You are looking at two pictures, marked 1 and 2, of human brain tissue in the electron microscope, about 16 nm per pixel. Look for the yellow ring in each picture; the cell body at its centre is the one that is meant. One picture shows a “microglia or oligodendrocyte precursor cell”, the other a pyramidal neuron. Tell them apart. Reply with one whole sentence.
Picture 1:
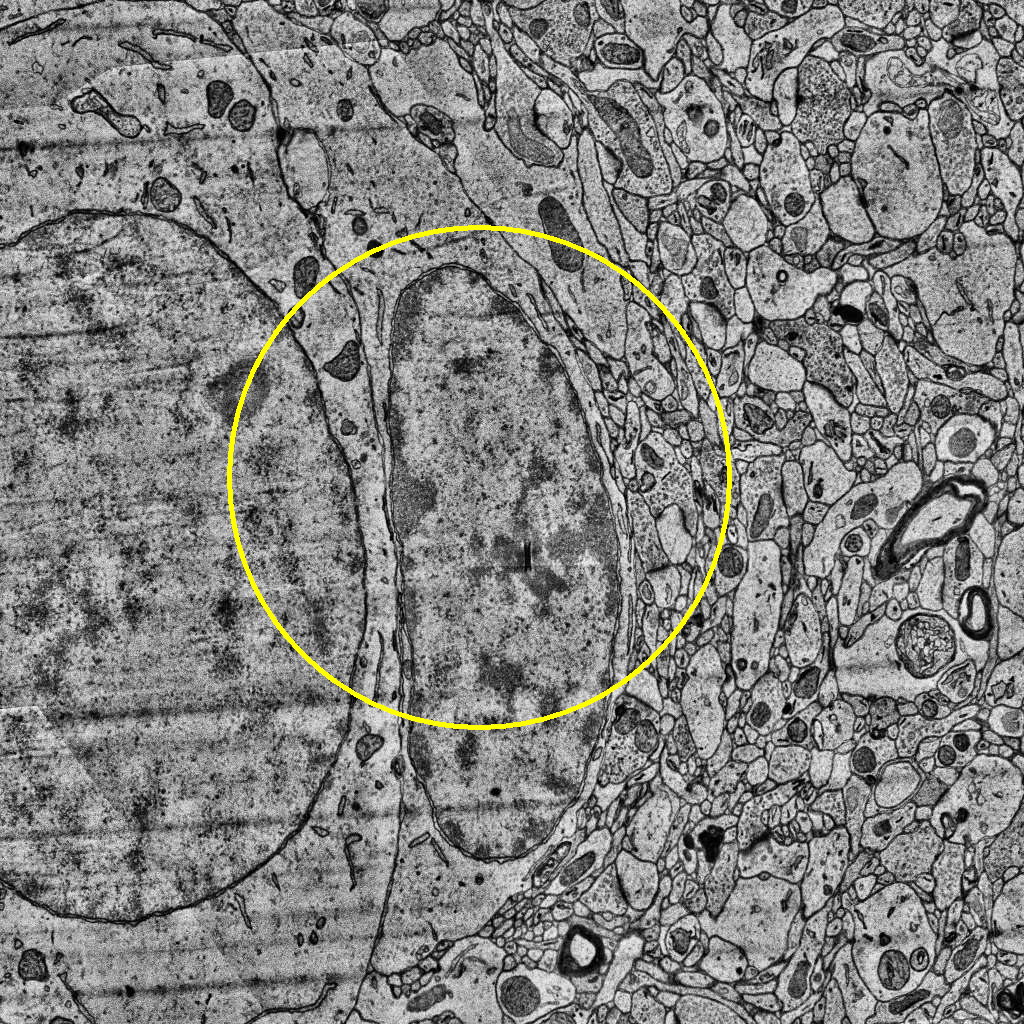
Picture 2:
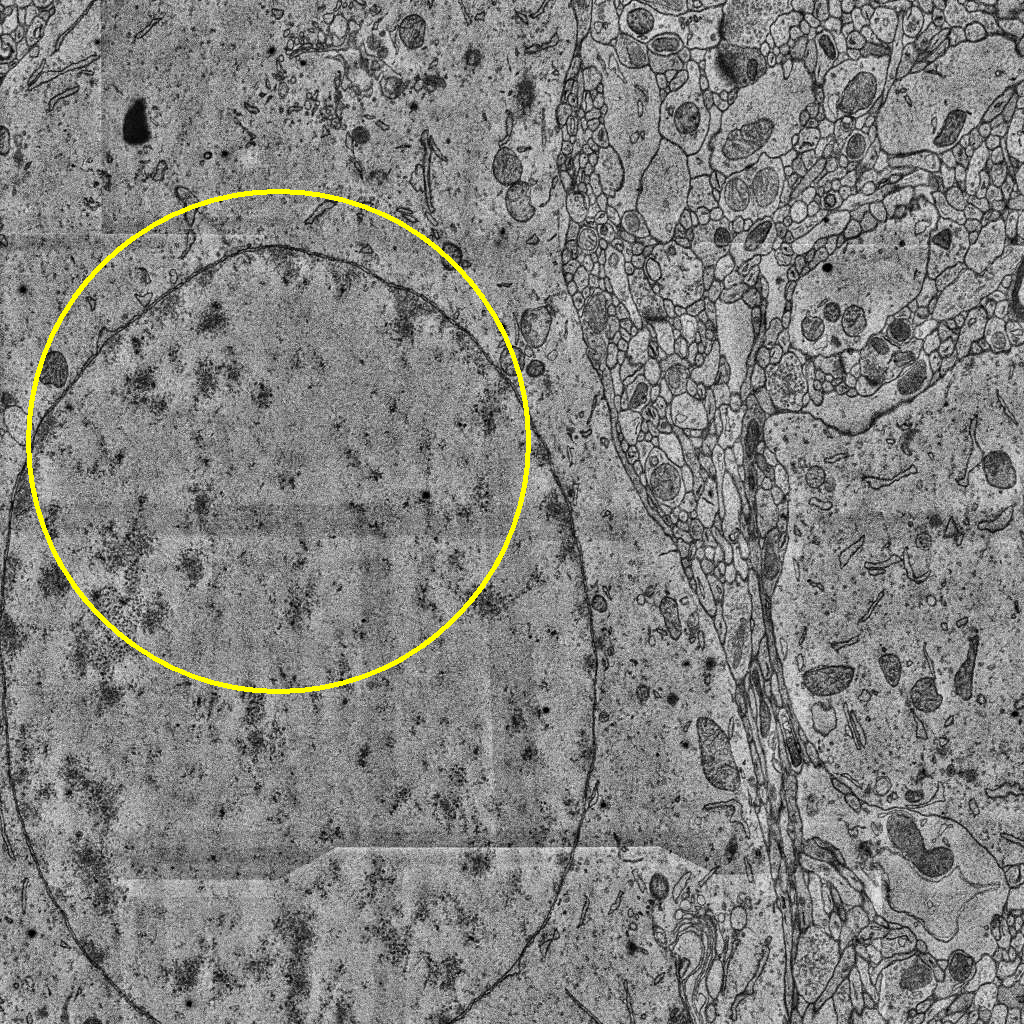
In picture 1 the cell is a “microglia or oligodendrocyte precursor cell”; in picture 2, a pyramidal neuron.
